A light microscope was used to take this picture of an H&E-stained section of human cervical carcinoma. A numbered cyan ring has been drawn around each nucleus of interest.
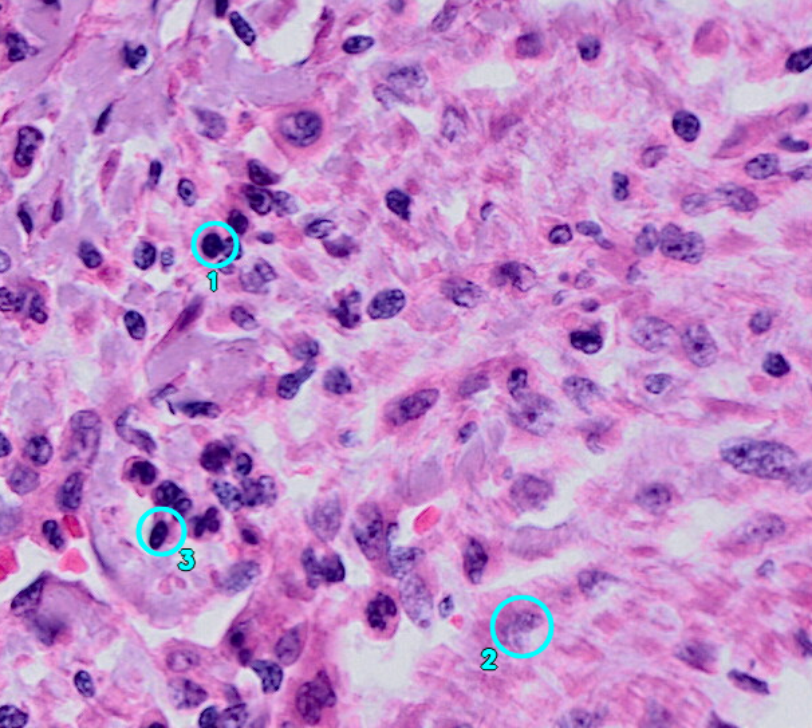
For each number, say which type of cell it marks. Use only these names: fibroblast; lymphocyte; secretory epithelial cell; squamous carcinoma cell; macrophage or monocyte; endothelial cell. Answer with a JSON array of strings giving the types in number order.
["lymphocyte", "fibroblast", "lymphocyte"]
